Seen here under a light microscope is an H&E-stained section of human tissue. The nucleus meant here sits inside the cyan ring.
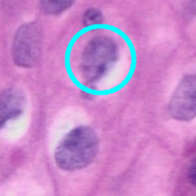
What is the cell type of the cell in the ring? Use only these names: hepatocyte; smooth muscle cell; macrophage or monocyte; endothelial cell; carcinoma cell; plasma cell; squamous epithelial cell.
squamous epithelial cell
